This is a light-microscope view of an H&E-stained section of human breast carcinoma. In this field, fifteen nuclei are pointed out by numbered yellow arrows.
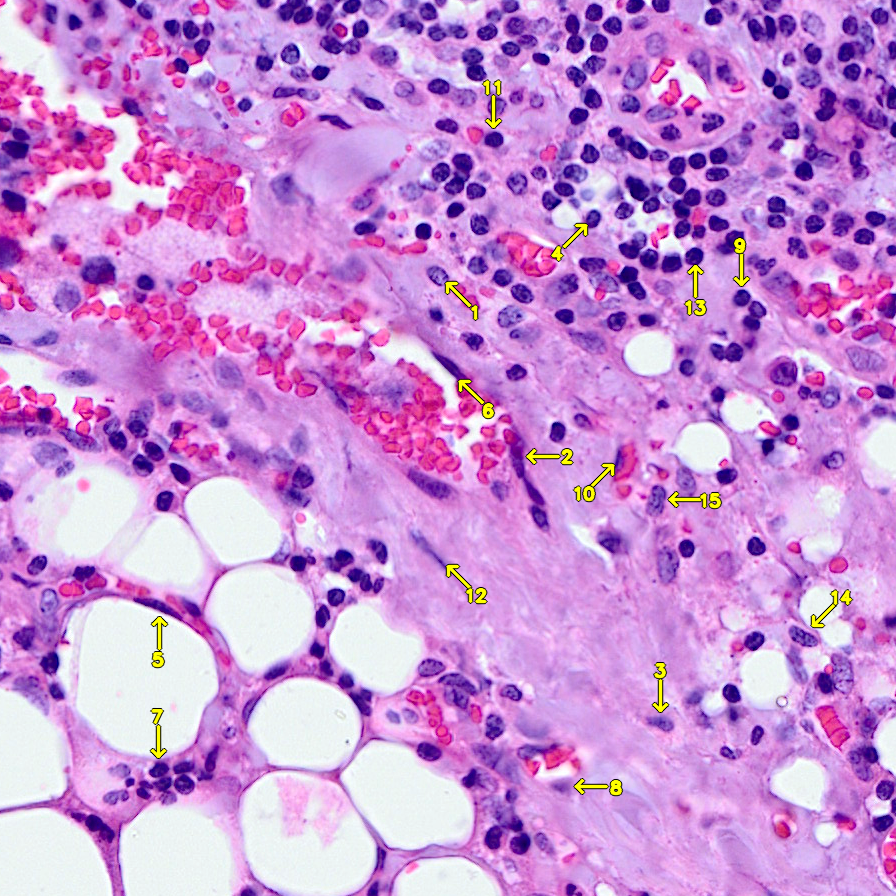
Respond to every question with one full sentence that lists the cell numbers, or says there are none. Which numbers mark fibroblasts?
Among the numbered nuclei, only the one labelled 12 belongs to a fibroblast.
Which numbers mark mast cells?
The cells marked 1, 3, 14 and 15 in the section are mast cells.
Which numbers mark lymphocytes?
Within the section, cells numbered 4, 7, 9, 11 and 13 are lymphocytes.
